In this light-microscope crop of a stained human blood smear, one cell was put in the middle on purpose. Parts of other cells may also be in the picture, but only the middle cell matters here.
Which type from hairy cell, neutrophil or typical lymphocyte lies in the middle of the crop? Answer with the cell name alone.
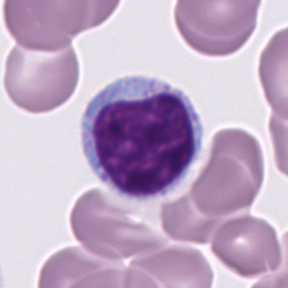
typical lymphocyte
